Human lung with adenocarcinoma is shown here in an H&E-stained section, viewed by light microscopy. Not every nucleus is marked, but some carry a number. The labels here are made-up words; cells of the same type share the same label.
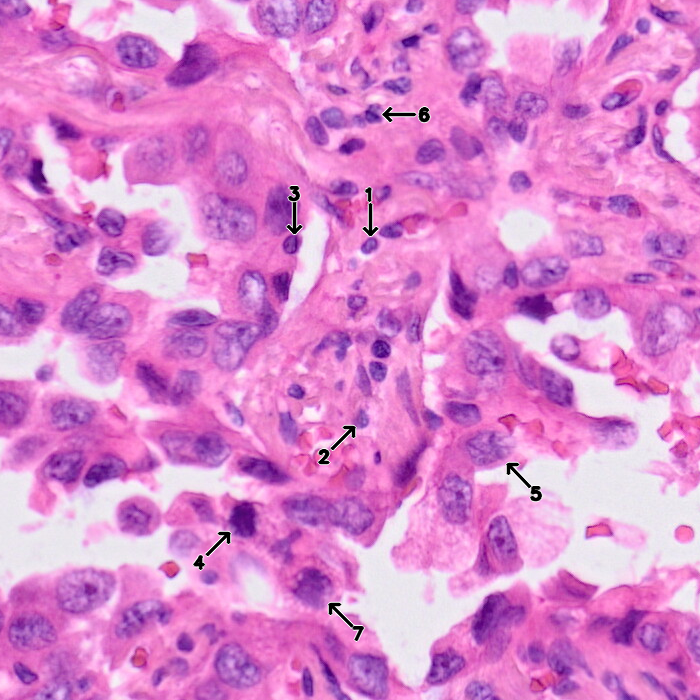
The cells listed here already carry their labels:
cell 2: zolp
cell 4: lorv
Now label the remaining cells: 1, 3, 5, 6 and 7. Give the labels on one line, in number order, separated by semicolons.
zolp; zolp; lorv; zolp; lorv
